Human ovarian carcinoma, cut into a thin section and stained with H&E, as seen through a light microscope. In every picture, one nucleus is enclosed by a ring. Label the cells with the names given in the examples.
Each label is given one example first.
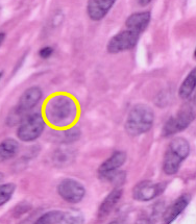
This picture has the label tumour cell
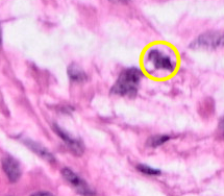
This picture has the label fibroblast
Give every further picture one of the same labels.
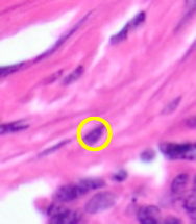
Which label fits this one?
fibroblast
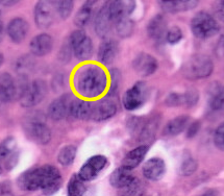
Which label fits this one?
tumour cell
